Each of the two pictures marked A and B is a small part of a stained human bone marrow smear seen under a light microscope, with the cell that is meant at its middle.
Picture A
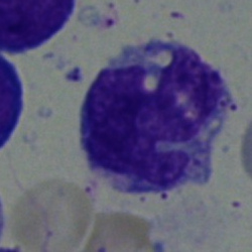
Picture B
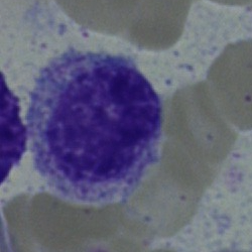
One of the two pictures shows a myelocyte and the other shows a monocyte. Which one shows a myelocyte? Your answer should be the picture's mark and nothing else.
B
